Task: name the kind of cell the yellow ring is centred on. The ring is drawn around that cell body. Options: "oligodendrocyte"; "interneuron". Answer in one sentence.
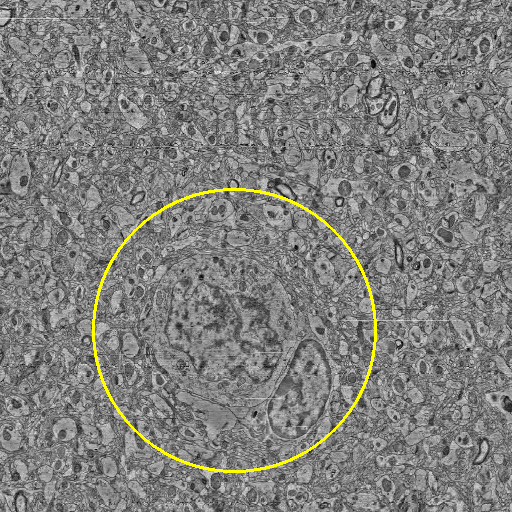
This cell body belongs to an interneuron.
